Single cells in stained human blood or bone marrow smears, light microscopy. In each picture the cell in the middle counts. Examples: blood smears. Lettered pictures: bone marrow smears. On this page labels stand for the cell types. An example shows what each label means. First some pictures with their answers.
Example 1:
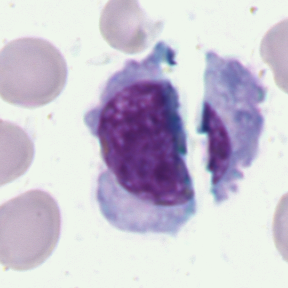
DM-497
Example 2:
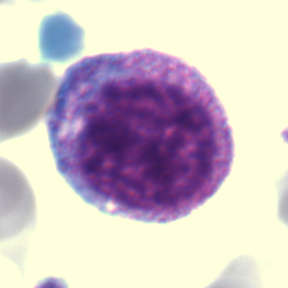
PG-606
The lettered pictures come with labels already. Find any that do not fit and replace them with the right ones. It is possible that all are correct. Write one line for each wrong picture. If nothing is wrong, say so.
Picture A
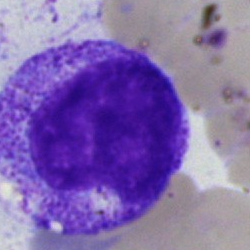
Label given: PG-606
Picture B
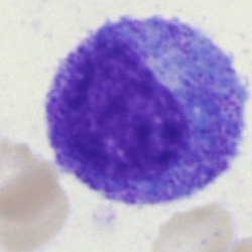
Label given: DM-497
B: PG-606, not DM-497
